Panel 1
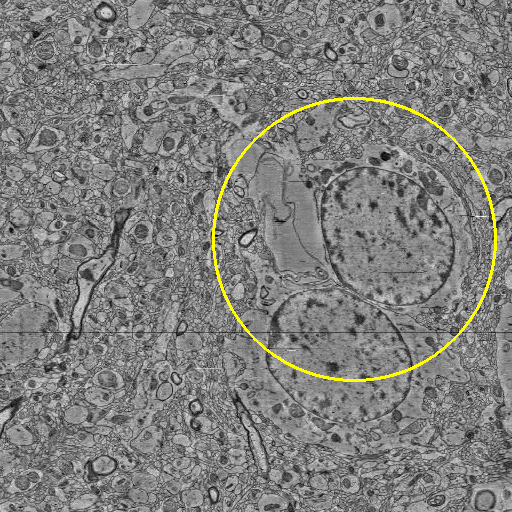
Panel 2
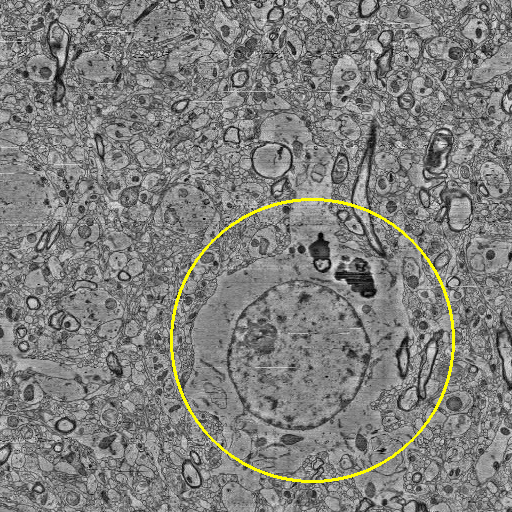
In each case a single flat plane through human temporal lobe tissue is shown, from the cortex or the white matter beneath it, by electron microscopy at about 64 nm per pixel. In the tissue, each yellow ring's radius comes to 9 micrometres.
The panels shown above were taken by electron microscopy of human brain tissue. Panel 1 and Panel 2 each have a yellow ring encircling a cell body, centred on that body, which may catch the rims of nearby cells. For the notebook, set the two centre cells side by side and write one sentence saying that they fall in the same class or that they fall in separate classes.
The centred cells of Panel 1 and Panel 2 fall in the same class.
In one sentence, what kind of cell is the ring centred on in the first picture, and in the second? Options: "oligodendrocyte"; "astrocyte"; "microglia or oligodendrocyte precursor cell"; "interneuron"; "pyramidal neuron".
Each cell at the centre of a ring is an astrocyte.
